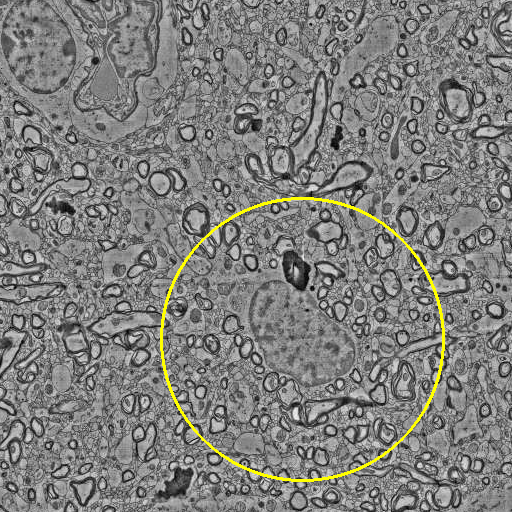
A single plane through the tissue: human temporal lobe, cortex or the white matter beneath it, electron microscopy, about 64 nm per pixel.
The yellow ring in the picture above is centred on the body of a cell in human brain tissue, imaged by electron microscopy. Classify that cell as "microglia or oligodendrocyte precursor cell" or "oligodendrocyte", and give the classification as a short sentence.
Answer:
The cell in the middle of the ring is an oligodendrocyte.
